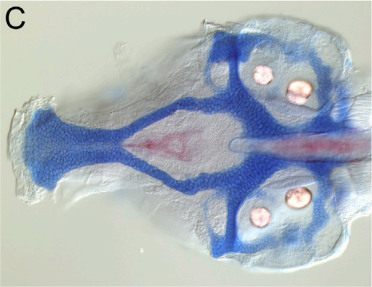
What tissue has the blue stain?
Cartilage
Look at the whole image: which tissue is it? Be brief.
neurocranium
